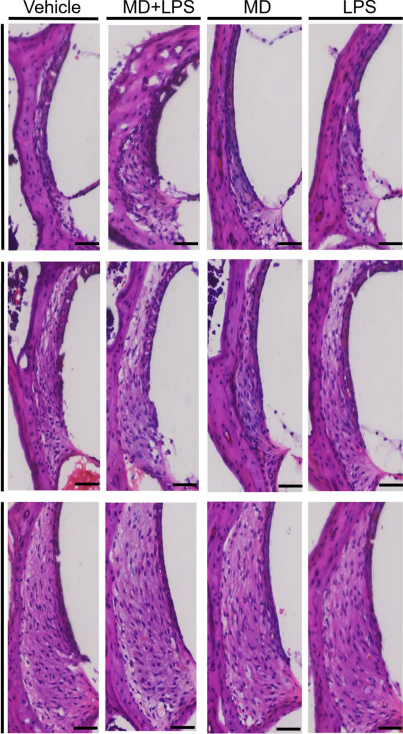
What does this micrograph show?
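These sections show the lateral wall of the cochlea, with the spiral ligament forming a crescent of loose pink connective tissue against the bony outer wall. Its cells are scattered fibrocytes with small, elongated purple nuclei set in a pale, fibrous matrix. Along the inner edge facing the duct lies a thinner, more cell-dense, darker-staining band.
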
